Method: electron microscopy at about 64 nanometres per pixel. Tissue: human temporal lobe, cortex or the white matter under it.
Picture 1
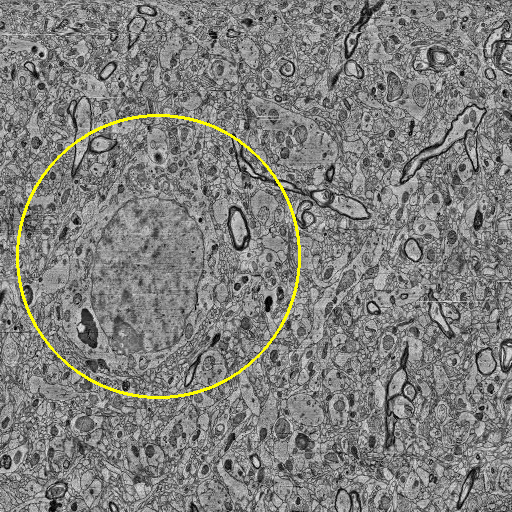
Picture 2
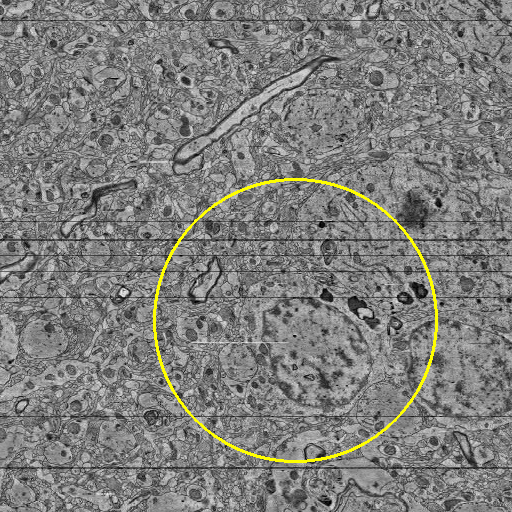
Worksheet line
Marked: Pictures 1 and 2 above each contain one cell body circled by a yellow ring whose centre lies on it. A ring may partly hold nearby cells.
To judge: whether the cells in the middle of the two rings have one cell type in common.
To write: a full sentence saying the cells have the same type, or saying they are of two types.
The cells in the middle of the rings in Picture 1 and Picture 2 have the same type.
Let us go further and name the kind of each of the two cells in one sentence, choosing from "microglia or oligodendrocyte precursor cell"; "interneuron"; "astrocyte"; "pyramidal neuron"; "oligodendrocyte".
The cell in the first picture is an interneuron, and so is the one in the second.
